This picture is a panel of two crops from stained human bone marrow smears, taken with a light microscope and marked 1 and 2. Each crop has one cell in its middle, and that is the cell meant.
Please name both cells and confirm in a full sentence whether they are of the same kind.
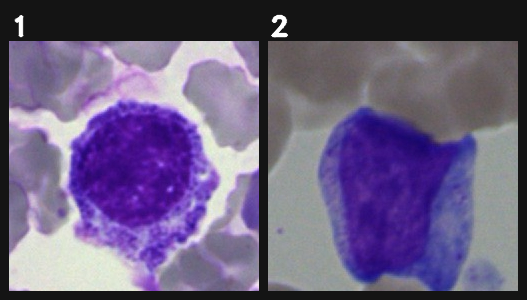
No, crop 1 contains a myelocyte; a blast is what crop 2 contains.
